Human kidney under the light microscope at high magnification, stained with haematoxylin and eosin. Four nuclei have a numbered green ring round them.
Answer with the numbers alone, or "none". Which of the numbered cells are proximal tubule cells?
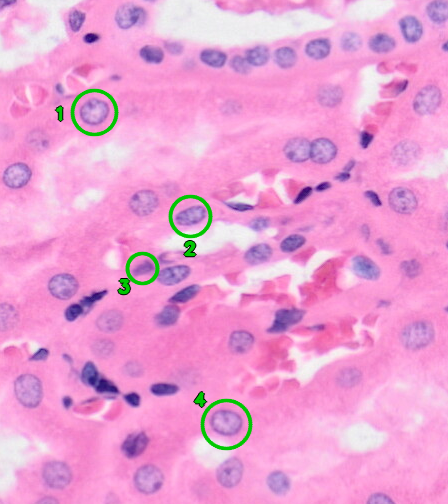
1, 4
